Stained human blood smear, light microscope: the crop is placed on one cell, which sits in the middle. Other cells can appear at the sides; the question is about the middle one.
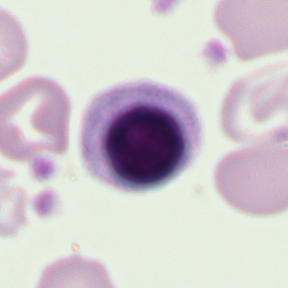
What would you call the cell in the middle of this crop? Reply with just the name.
normoblast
